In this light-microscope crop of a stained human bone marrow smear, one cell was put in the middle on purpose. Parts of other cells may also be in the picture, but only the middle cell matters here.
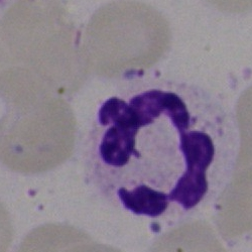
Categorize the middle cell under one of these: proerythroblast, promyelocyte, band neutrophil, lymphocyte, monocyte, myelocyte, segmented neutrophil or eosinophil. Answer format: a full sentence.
In the middle of this smear crop is a segmented neutrophil.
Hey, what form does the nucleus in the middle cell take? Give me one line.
Two or more lobes make up the nucleus of this cell.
